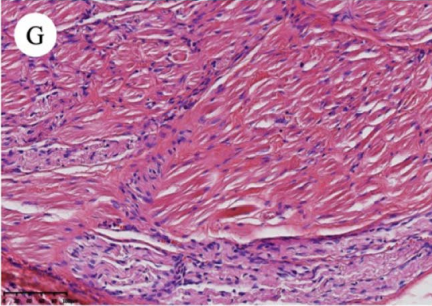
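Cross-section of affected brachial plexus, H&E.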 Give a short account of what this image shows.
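Low-power view of peripheral nerve fascicles made of wavy, pink-stained fibers with scattered elongated dark nuclei. The fascicles are cut at different angles, some lengthwise and some more obliquely. Thin, more cellular bands separate neighbouring bundles.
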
